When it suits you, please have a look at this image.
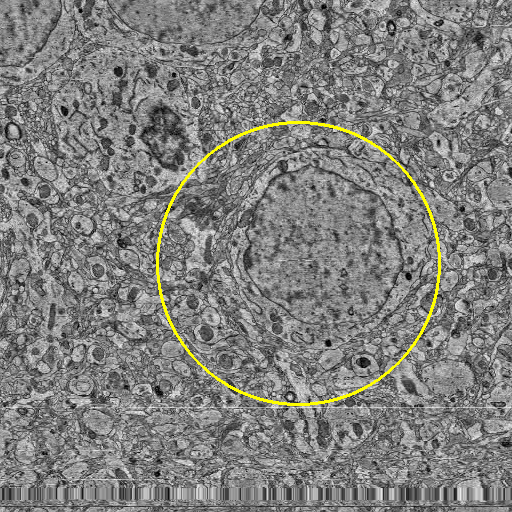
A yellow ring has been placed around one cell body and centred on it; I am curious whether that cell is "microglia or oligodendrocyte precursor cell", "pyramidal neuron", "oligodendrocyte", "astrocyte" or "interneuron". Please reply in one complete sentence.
The ringed cell, a pyramidal neuron, has its body at the centre of the yellow ring.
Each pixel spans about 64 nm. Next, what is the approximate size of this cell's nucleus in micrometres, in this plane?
In this plane, the nucleus measures approximately 11 micrometres across.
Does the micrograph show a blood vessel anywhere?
No.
